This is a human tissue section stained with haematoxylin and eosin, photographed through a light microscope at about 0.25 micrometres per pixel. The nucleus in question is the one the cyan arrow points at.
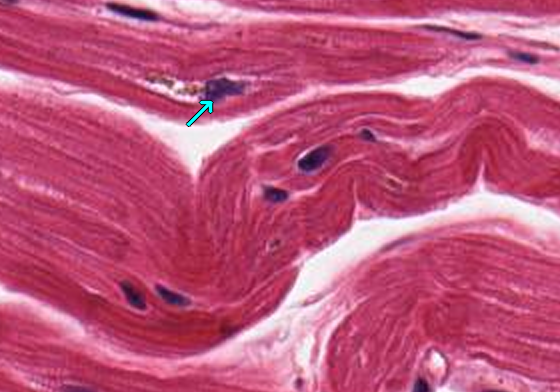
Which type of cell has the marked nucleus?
cardiomyocyte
